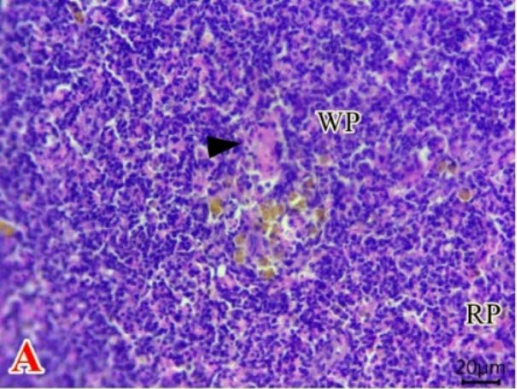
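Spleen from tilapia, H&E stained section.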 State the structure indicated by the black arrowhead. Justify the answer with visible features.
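The arrowhead points to a small pink-walled vessel profile within the white pulp. Densely packed dark-blue lymphoid cells surround it.
Answer: central arterioles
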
